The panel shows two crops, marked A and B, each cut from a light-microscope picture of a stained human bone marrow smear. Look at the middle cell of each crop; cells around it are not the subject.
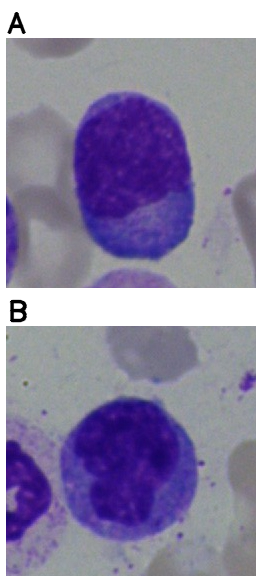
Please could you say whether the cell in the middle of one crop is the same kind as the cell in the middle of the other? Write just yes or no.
no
